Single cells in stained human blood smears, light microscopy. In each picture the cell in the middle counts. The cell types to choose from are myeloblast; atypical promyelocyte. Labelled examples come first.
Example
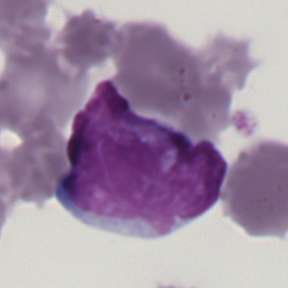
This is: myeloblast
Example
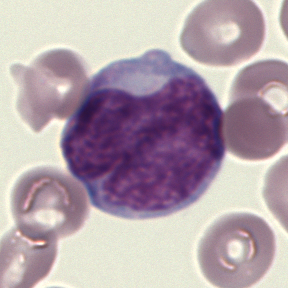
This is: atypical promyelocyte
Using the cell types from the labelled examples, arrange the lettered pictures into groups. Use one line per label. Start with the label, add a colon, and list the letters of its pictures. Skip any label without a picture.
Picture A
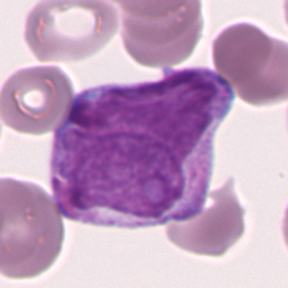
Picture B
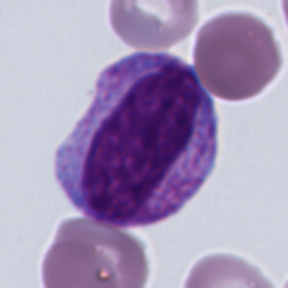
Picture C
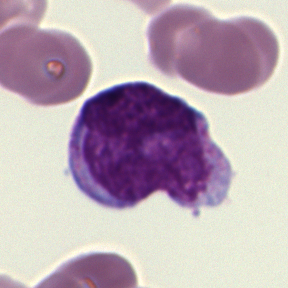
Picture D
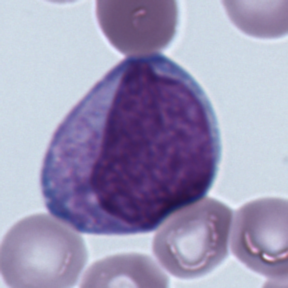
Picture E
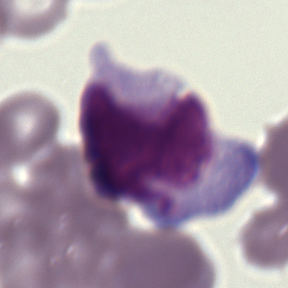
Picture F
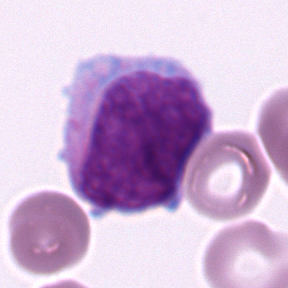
myeloblast: E
atypical promyelocyte: A, B, C, D, F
